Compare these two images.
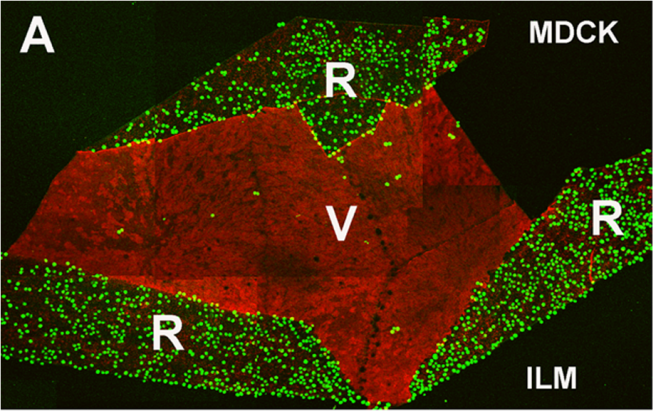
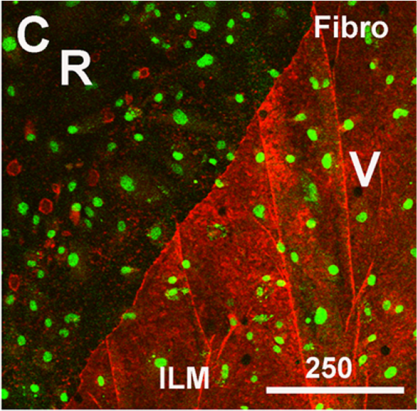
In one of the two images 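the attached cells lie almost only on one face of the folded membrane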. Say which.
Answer: the first image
